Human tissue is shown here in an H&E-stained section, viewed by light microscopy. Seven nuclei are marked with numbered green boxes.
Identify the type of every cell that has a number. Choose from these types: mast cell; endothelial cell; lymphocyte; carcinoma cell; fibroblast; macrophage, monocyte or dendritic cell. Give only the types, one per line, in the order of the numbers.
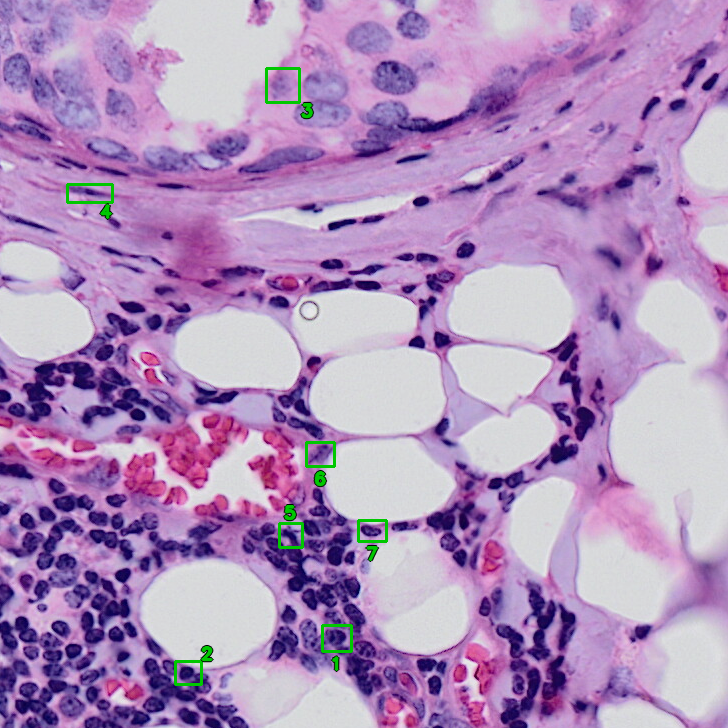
lymphocyte
lymphocyte
carcinoma cell
fibroblast
lymphocyte
endothelial cell
lymphocyte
